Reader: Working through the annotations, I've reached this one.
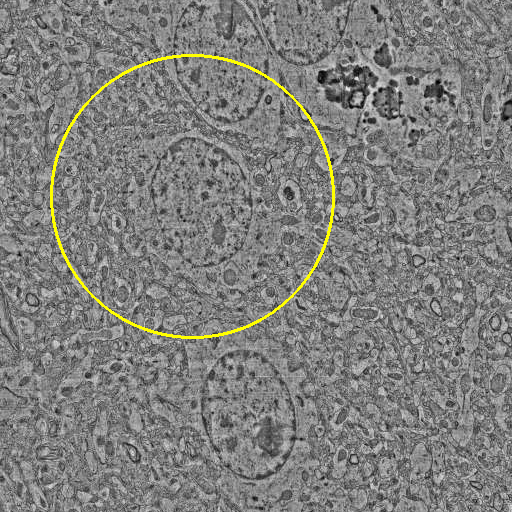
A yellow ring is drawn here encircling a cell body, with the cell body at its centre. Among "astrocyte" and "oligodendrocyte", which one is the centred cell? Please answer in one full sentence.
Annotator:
The cell body at the centre of the yellow ring in this image belongs to an astrocyte.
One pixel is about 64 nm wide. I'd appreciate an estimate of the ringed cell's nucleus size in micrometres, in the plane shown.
The nucleus appears roughly 8 by 6 micrometres in this plane.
